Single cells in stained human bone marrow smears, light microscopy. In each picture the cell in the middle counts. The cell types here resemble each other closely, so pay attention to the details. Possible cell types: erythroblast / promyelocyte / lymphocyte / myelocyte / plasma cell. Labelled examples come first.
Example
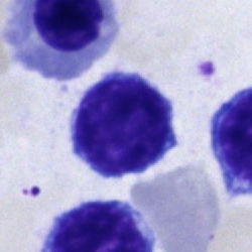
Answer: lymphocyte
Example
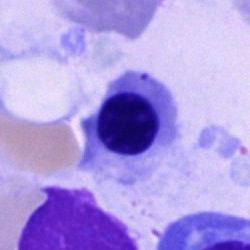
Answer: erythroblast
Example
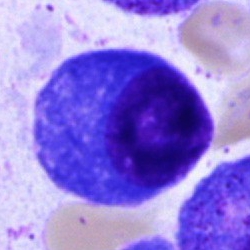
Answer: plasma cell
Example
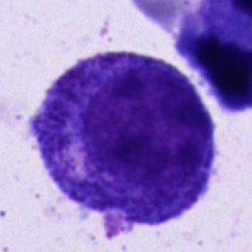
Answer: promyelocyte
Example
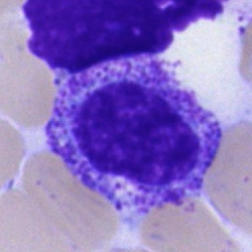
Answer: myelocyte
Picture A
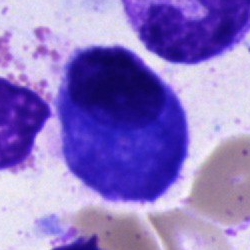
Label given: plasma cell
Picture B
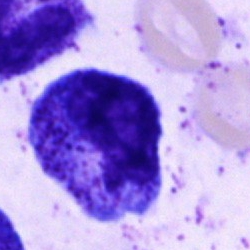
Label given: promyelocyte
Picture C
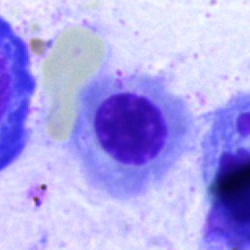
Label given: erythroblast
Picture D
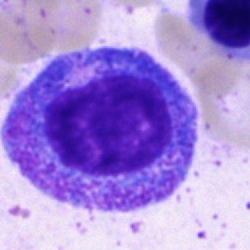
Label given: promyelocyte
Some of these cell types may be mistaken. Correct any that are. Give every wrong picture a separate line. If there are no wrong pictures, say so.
Nothing to fix; every label fits.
